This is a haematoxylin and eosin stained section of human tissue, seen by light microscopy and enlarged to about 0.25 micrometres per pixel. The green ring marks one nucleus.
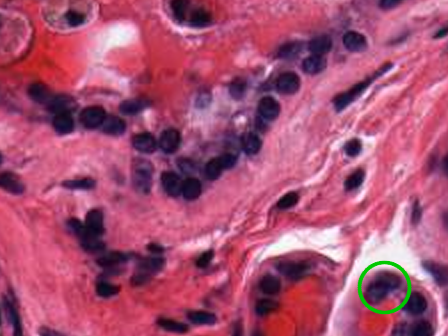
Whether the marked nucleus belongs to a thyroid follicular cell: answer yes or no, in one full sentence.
Yes, the marked nucleus is found within a thyroid follicular cell.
